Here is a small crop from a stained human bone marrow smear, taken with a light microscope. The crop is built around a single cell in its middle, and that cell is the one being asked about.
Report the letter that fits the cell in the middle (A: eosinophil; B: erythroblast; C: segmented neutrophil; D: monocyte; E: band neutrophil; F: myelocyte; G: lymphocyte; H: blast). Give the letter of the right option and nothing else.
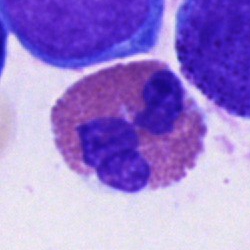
A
